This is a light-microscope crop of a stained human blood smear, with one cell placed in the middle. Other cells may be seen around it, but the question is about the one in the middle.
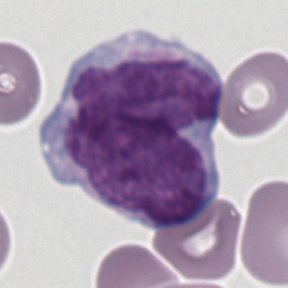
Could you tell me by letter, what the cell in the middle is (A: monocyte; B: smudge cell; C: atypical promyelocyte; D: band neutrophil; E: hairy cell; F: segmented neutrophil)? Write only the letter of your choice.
C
